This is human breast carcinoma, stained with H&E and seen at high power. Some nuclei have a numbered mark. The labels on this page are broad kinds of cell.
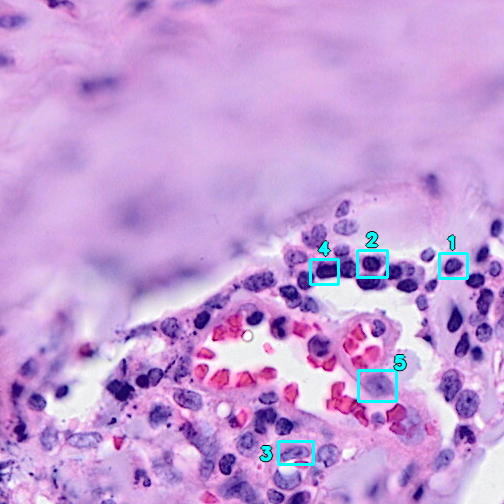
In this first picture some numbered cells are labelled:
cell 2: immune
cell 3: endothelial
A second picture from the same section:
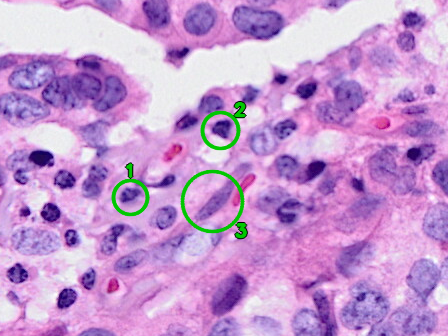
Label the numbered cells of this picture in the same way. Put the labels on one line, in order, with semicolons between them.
immune; immune; endothelial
